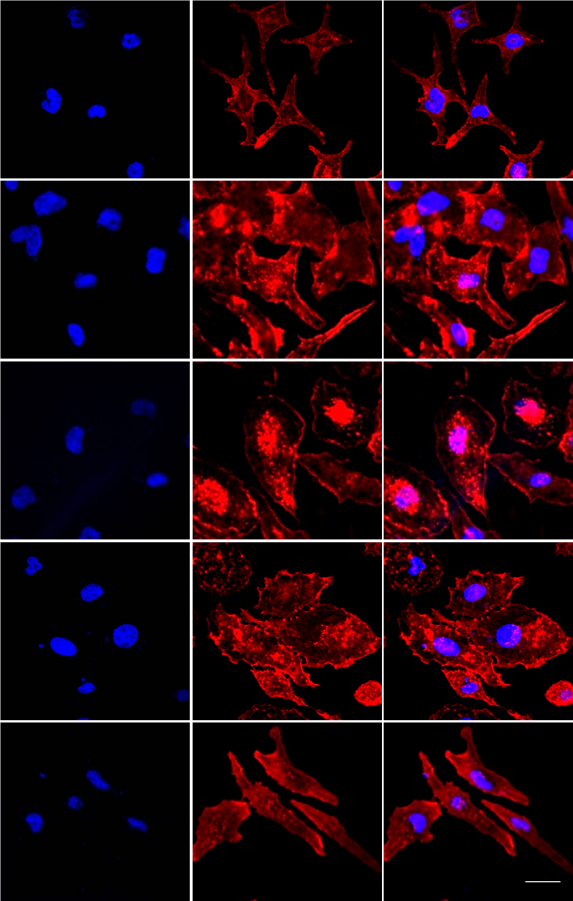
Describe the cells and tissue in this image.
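In the middle rows, the cells are broadly flattened and spread, with irregular, ruffled margins and granular red staining across the cytoplasm. In one of these rows, dense bright red clusters sit over or next to the nucleus.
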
